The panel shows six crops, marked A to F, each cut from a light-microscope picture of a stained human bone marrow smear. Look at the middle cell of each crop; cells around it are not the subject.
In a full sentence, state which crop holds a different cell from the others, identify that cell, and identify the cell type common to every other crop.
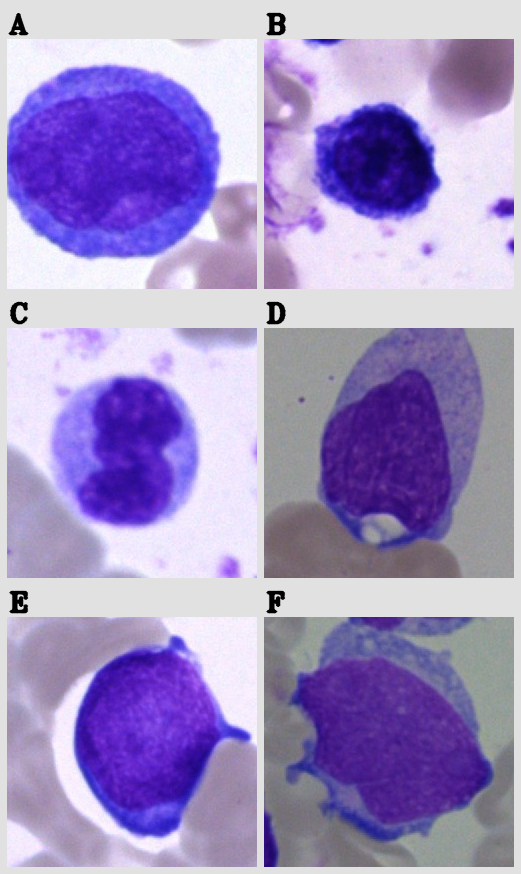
All of the other crops show blasts; crop C, by contrast, is a monocyte.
